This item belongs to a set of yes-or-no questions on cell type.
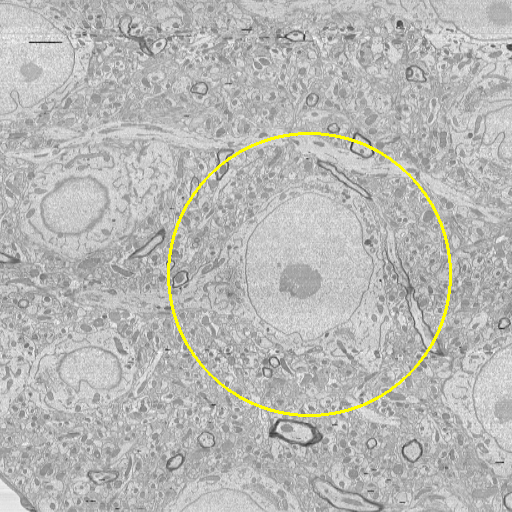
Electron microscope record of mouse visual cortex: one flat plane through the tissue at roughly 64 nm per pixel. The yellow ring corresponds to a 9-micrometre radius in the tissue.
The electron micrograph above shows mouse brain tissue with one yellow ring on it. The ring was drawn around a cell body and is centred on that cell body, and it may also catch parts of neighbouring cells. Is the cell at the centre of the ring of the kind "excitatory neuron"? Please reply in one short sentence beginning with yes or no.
Yes, that cell is of the named kind.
